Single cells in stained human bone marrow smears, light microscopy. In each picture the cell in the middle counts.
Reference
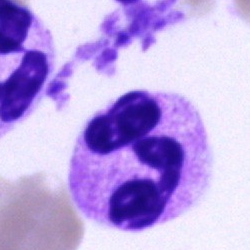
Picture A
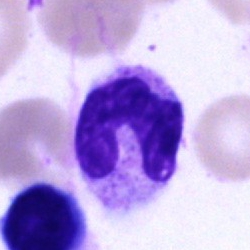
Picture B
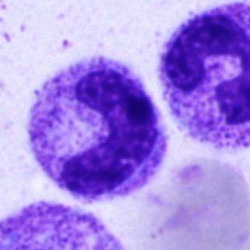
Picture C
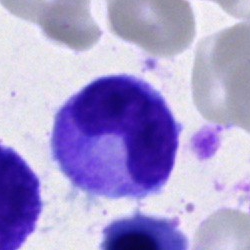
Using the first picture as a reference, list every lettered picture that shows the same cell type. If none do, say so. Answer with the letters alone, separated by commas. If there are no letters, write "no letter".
no letter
